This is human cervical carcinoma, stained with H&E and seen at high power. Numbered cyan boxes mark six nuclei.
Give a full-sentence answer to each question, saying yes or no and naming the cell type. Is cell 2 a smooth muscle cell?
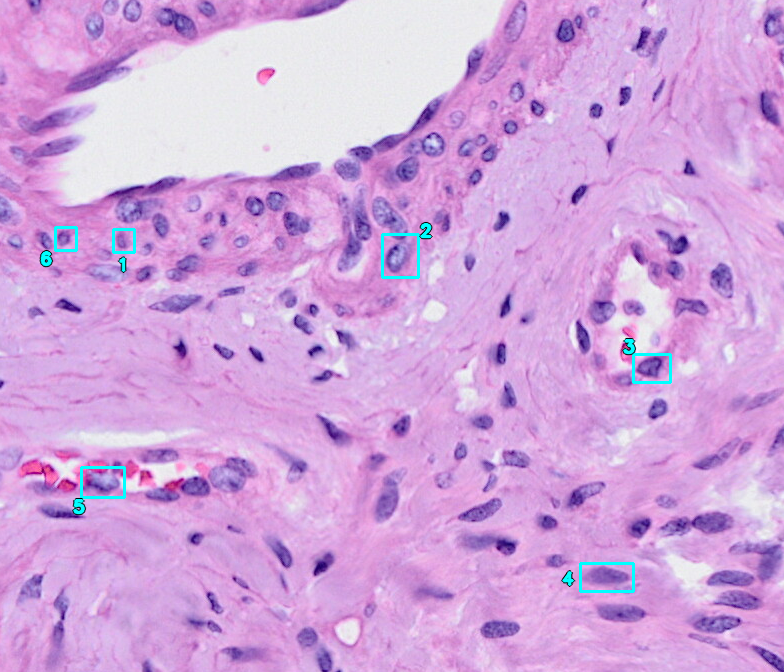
Yes, among the marked cells, the one with number 2 is a smooth muscle cell.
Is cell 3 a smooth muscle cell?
No, cell 3 isn't a smooth muscle cell; it's an endothelial cell.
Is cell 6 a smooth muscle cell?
Yes, the cell with the mark numbered 6 is a smooth muscle cell.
